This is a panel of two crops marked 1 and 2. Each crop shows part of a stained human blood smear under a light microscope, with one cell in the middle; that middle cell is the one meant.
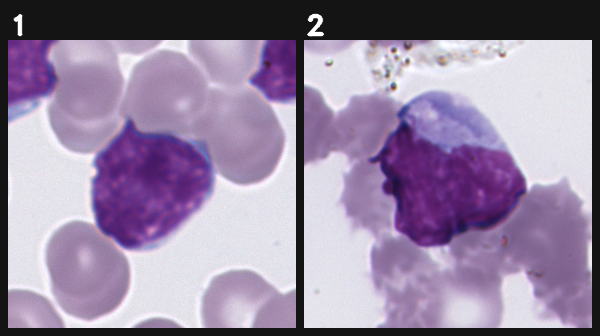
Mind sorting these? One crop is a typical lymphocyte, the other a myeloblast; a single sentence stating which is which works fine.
Crop 1 holds a typical lymphocyte; a myeloblast occupies crop 2.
